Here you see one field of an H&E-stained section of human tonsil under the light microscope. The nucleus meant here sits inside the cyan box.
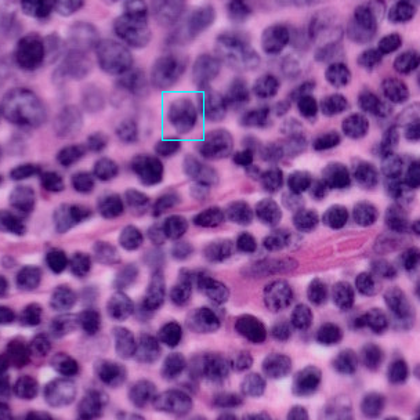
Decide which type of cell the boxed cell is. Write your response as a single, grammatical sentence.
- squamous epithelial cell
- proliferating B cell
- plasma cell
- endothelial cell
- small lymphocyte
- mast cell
Labelled by cell type, the boxed cell is a proliferating B cell.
